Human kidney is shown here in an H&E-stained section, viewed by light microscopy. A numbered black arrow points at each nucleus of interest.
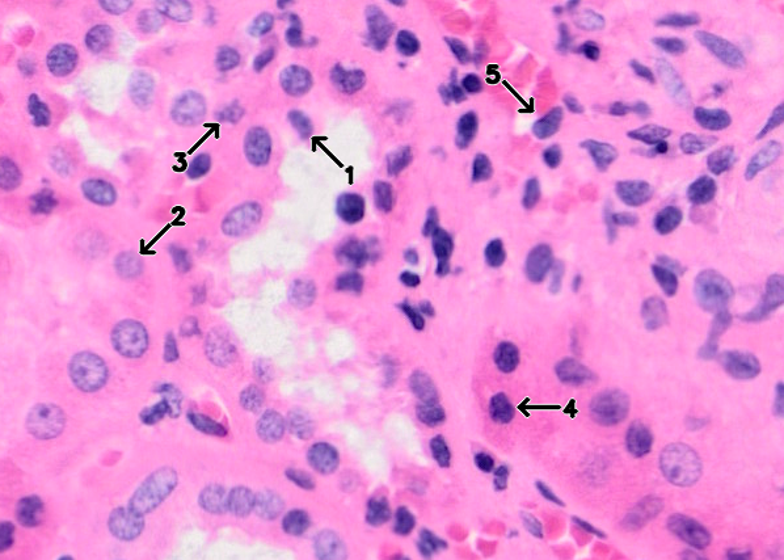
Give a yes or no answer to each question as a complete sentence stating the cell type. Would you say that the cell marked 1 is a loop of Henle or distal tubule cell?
Yes, the cell shown as number 1 is a loop of Henle or distal tubule cell.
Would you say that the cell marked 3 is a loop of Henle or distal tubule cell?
Yes, the cell at marker 3 is a loop of Henle or distal tubule cell.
